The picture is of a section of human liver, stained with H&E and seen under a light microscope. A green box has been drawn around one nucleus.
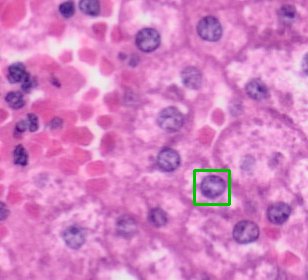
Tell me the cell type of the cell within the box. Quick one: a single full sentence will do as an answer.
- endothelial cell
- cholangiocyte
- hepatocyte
By cell type, the cell within the box is a hepatocyte.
